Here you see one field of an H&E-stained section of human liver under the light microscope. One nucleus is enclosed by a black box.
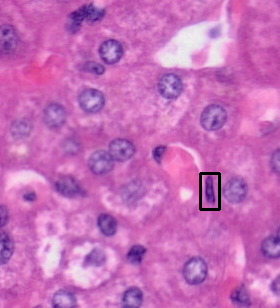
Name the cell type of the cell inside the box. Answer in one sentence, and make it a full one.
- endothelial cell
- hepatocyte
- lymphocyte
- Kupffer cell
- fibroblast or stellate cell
In this field of tissue, the cell inside the box is a fibroblast or stellate cell.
